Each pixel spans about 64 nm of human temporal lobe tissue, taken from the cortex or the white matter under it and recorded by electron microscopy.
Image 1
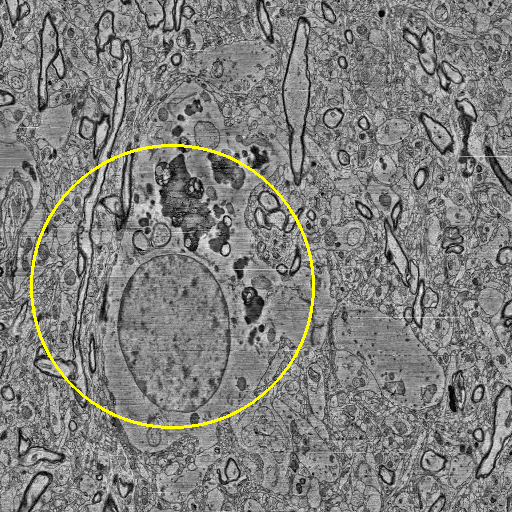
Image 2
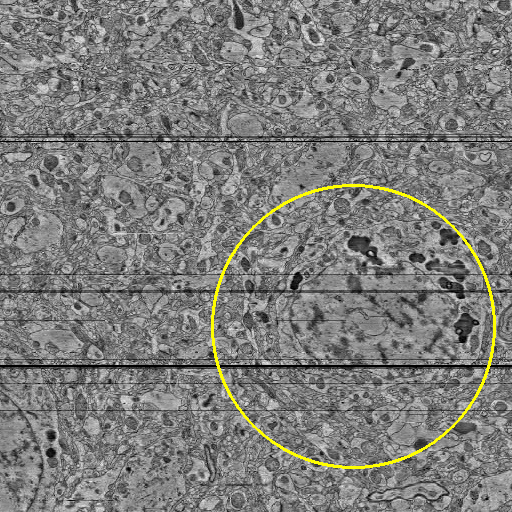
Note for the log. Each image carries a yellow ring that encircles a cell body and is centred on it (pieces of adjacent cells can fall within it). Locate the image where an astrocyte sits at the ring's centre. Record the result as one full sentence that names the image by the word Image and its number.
Image 1 has the wanted cell sitting at the centre of its ring.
